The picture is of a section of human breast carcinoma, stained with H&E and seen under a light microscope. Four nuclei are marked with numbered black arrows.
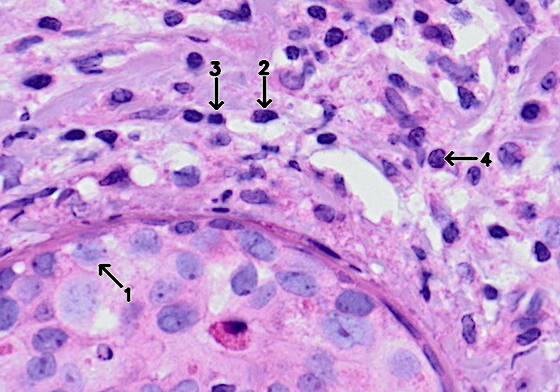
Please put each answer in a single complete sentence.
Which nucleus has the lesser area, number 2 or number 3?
Number 3 is smaller, since number 2 takes up about 1.5 times as much area.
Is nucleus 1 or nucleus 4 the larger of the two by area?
Of the two, number 1 is bigger and takes up about 1.5 times the area of number 4.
